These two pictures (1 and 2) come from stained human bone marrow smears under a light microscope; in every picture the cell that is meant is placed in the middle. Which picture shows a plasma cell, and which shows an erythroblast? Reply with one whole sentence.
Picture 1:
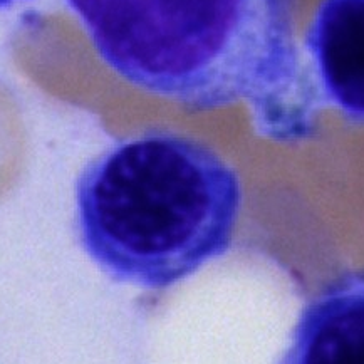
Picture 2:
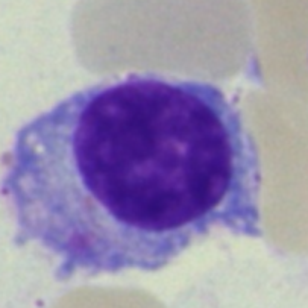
Picture 2 shows a plasma cell, while picture 1 shows an erythroblast.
